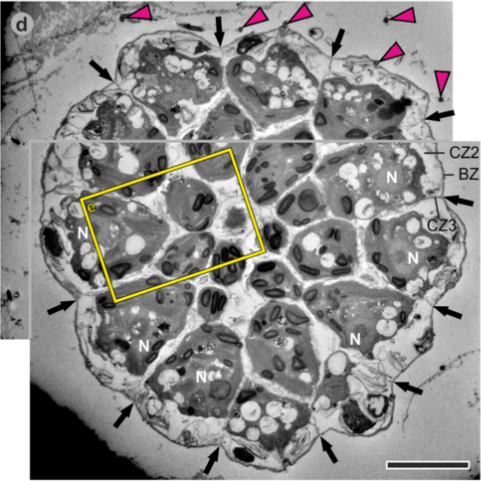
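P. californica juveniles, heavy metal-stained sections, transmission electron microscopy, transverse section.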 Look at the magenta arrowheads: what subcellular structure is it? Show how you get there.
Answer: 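The magenta arrowheads point to small dark profiles in the space outside the cell cluster. These profiles are far smaller than the cells.
Answer: flagella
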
